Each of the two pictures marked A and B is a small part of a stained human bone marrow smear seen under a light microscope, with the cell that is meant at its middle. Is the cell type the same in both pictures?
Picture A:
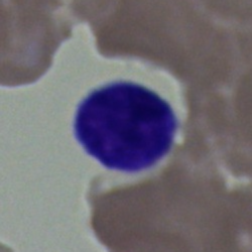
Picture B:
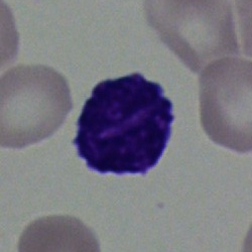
no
